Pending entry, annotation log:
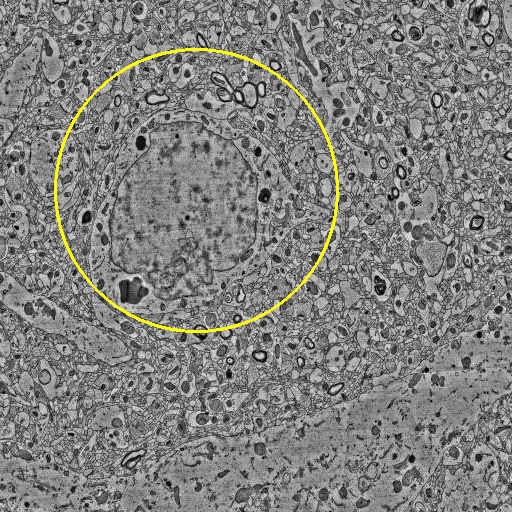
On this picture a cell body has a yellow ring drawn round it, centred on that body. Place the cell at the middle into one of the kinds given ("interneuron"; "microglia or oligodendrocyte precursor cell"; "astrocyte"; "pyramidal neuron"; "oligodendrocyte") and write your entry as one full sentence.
The cell body at the middle of the yellow ring belongs to an interneuron.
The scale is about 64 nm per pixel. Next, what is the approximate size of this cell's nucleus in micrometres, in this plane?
In this plane the nucleus measures roughly 11 by 9 micrometres.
